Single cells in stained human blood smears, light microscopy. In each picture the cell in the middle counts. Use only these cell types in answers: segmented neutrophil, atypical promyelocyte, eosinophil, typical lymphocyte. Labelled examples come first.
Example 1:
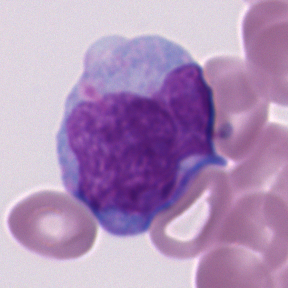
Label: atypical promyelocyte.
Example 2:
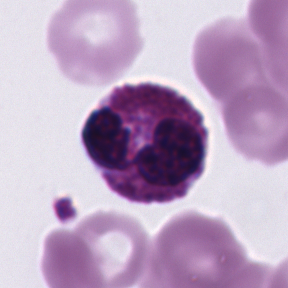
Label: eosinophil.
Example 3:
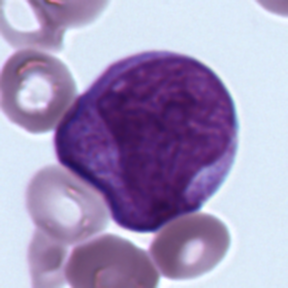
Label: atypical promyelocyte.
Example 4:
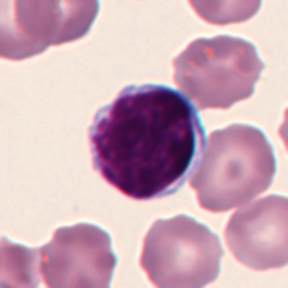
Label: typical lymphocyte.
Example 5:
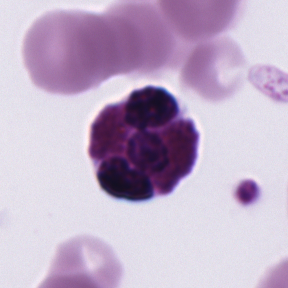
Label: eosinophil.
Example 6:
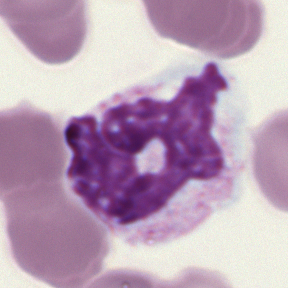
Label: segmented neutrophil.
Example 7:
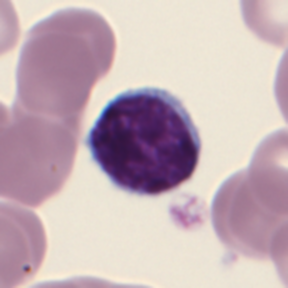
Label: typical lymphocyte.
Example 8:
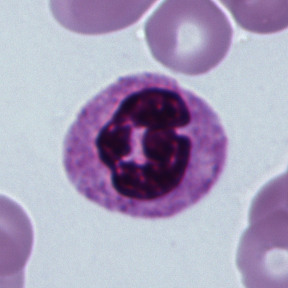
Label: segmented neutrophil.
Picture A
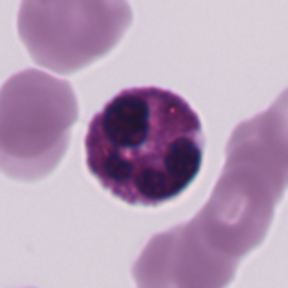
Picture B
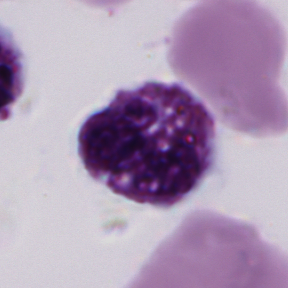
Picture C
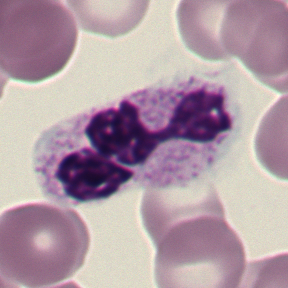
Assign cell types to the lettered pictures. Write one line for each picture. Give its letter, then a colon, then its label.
A: eosinophil.
B: eosinophil.
C: segmented neutrophil.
